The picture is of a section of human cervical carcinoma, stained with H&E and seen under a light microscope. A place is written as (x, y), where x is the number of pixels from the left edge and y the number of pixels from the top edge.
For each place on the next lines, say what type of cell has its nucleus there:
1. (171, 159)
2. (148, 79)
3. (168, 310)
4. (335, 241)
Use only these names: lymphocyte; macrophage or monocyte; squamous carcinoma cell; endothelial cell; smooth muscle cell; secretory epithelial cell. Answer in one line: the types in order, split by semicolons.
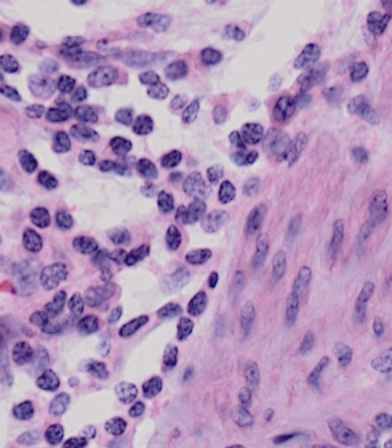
lymphocyte; lymphocyte; lymphocyte; smooth muscle cell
